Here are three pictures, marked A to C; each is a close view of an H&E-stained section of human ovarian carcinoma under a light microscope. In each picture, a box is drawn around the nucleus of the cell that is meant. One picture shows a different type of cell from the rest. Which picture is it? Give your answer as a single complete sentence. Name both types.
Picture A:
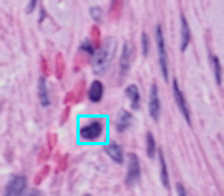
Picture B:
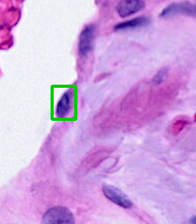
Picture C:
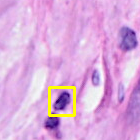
All pictures except B show lymphocytes; picture B shows an endothelial cell.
